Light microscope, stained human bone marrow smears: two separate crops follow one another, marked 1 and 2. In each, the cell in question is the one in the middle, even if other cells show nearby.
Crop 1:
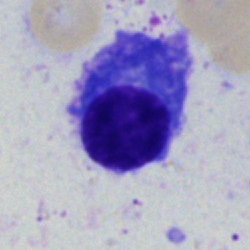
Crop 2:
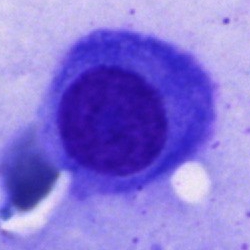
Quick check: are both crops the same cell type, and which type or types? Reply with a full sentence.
Yes, both crops show a cell each, and these are plasma cells.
